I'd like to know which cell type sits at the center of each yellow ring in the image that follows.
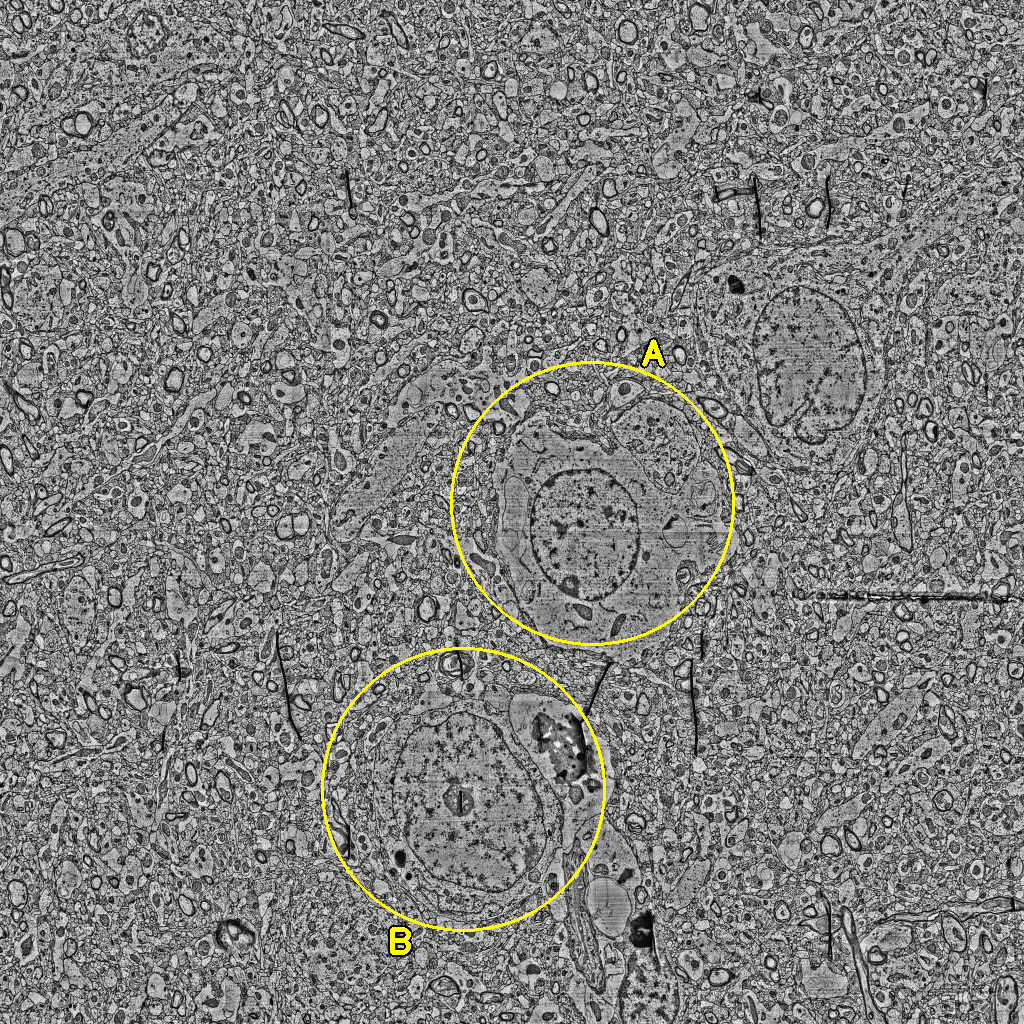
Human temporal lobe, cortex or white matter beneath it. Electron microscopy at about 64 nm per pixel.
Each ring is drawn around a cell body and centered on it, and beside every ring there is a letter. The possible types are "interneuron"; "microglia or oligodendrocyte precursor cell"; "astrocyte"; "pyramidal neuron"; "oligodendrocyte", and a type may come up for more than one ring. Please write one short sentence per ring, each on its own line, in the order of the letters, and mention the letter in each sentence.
The cell at the center of ring A is an astrocyte.
The cell at the center of ring B is a pyramidal neuron.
